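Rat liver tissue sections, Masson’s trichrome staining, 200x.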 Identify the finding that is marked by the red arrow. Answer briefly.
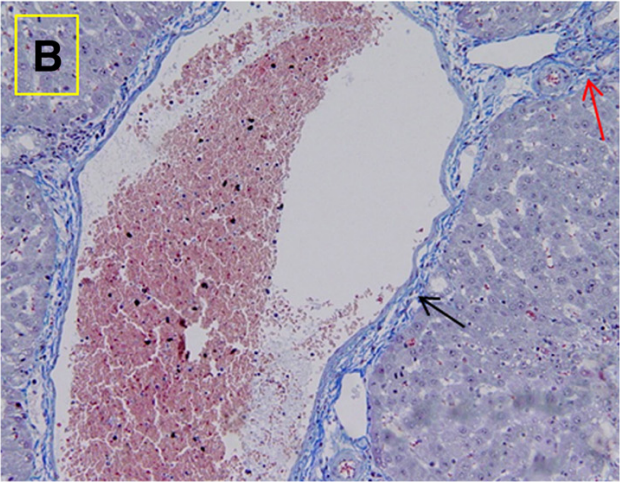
interlobular collagen deposition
